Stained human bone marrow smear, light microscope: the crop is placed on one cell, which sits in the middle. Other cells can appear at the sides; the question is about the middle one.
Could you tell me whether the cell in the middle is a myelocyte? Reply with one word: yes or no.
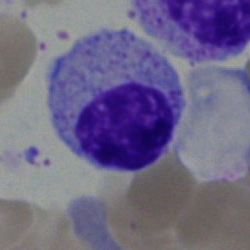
yes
